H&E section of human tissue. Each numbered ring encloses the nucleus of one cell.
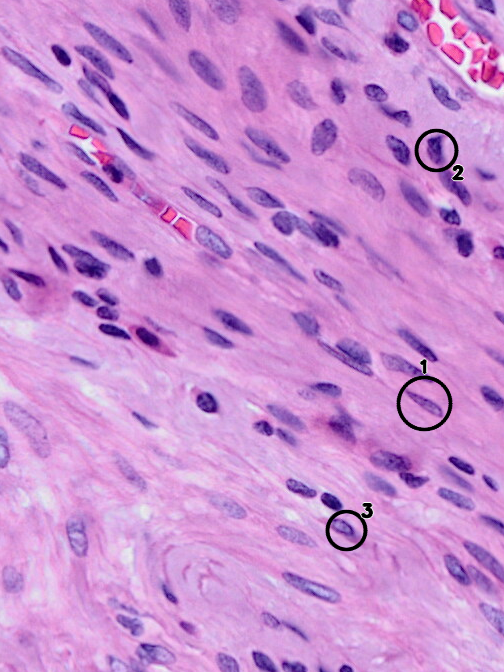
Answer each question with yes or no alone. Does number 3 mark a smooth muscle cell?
yes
